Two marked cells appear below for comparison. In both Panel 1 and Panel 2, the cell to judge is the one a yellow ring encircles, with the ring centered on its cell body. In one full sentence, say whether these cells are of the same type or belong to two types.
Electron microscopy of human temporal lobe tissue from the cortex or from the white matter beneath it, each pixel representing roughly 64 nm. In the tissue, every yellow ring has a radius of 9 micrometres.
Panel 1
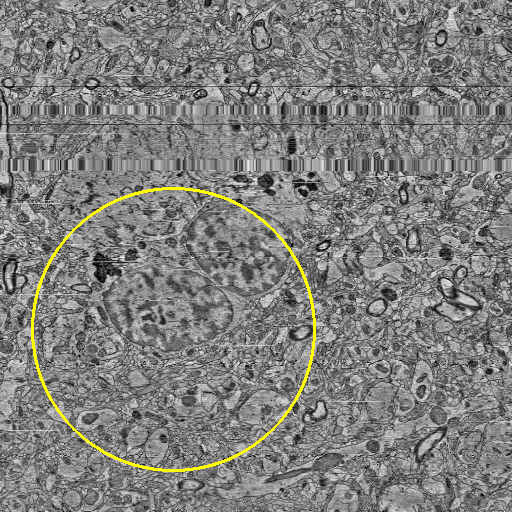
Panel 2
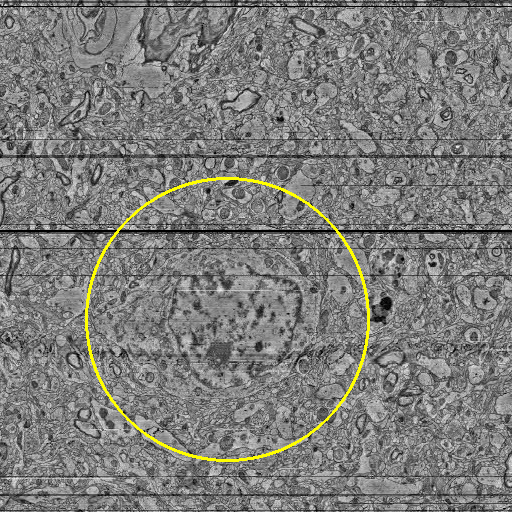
The cell centered in the Panel 1 ring and the one in Panel 2 belong to two types.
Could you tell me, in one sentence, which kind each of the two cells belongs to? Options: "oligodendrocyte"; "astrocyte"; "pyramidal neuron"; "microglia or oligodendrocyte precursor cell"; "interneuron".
At the centre of the first ring sits an oligodendrocyte, and at the centre of the second sits an interneuron.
